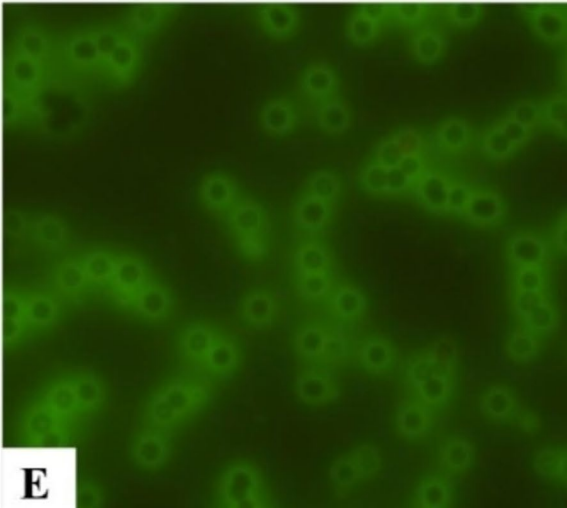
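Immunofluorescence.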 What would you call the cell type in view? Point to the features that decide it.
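Erythrocytes. Small round cells of uniform size. Each cell has a bright rim and a darker center. No nuclei are seen. Cells lie in clusters and short chains.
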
